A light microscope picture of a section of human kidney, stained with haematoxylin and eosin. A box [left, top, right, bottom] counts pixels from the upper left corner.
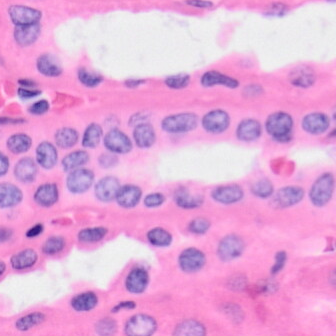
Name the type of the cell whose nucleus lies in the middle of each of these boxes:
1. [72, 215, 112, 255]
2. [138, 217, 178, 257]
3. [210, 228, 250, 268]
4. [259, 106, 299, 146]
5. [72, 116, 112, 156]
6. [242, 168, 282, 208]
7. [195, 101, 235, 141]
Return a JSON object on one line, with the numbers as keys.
{"1": "loop of Henle or distal tubule cell", "2": "loop of Henle or distal tubule cell", "3": "loop of Henle or distal tubule cell", "4": "collecting duct cell", "5": "collecting duct cell", "6": "collecting duct cell", "7": "collecting duct cell"}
